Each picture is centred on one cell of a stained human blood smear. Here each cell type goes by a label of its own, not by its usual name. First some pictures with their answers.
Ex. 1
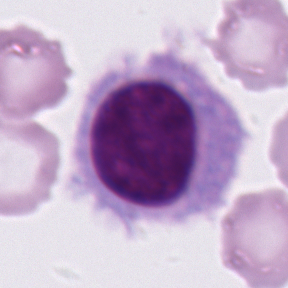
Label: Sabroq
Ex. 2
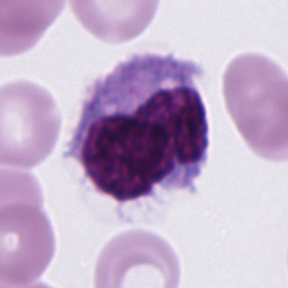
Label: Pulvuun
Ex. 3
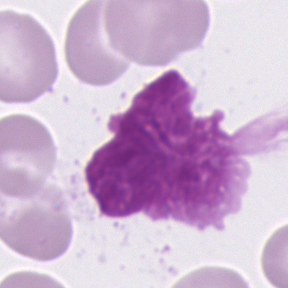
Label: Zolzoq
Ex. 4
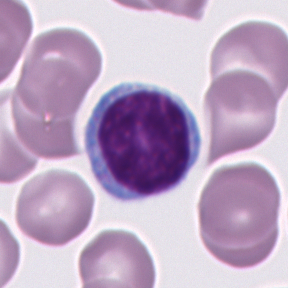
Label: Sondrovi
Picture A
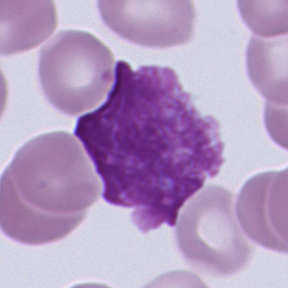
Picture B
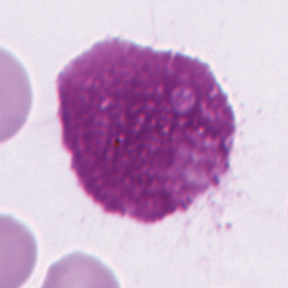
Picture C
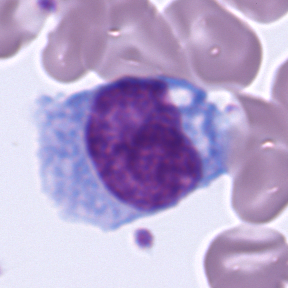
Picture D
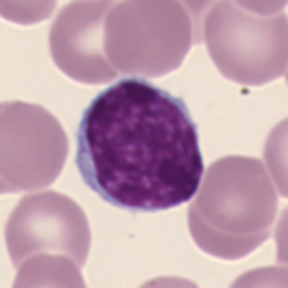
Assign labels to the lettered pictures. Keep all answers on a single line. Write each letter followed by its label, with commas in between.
A Zolzoq, B Zolzoq, C Pulvuun, D Sondrovi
